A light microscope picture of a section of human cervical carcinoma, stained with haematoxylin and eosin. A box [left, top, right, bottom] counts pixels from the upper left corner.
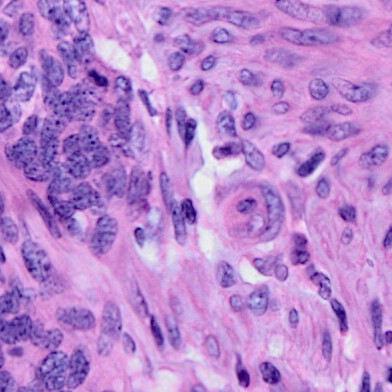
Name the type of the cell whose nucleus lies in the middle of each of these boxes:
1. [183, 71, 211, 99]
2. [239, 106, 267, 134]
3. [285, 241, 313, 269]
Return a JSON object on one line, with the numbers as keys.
{"1": "smooth muscle cell", "2": "smooth muscle cell", "3": "macrophage or monocyte"}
